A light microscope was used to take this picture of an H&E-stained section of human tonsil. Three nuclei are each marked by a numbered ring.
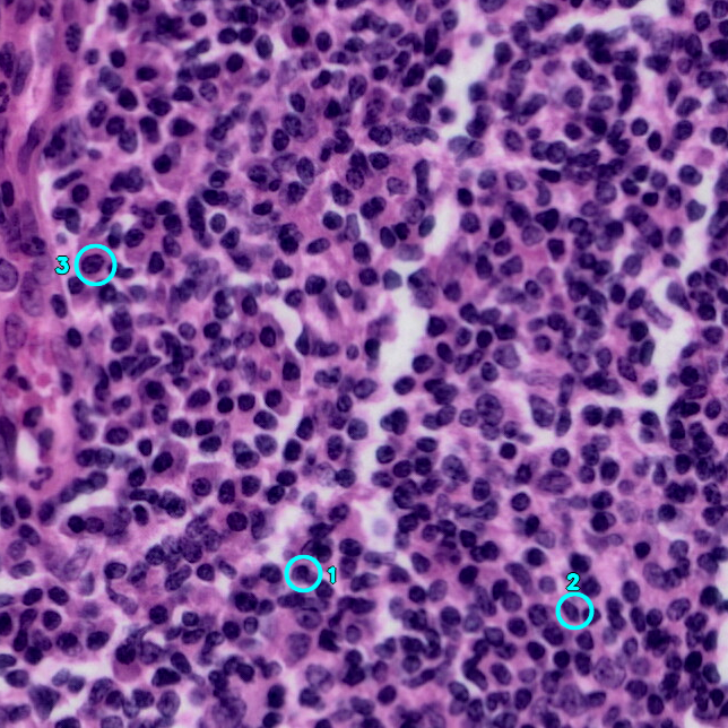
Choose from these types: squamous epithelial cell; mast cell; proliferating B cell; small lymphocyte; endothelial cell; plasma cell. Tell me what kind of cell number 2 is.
small lymphocyte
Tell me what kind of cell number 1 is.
small lymphocyte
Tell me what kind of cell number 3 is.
plasma cell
